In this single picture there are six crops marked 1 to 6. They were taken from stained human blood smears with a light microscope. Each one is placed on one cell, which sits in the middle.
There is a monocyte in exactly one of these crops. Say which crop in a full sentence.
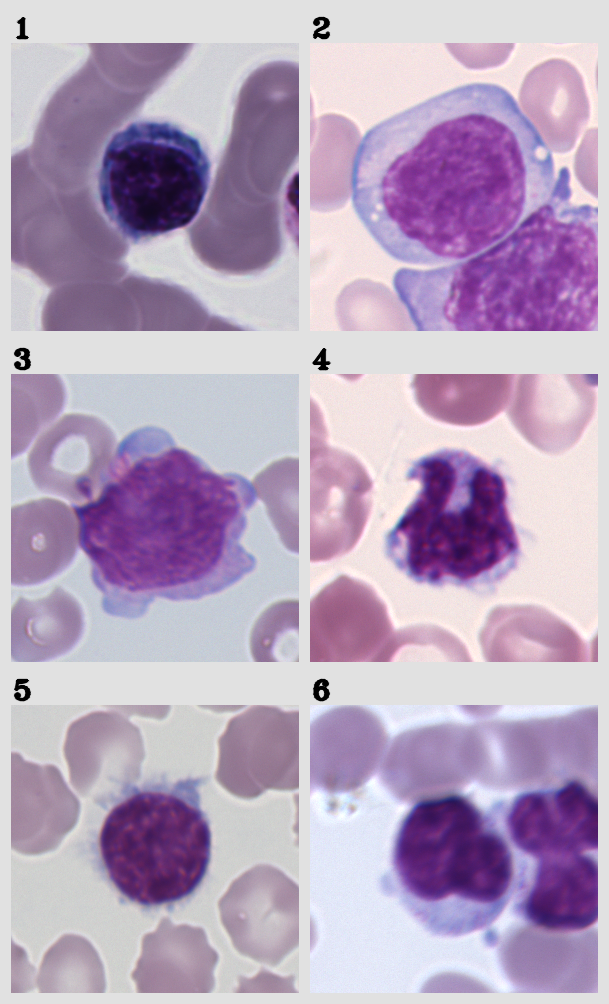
Crop 4 is where a monocyte is to be found.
